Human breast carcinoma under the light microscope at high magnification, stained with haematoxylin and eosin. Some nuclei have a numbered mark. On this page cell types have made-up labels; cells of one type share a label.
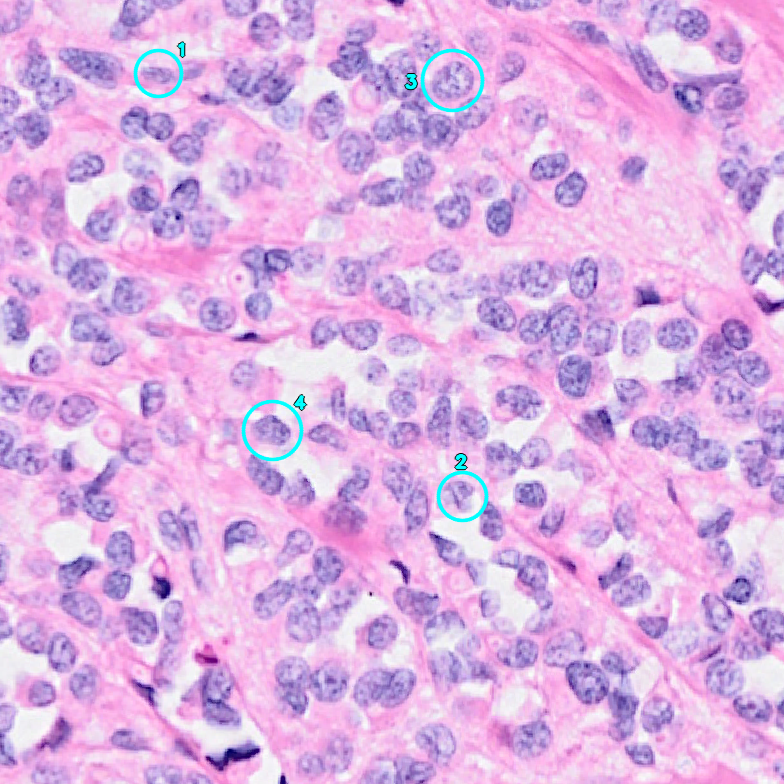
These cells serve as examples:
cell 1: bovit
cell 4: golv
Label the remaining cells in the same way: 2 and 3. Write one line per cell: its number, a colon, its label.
2: golv
3: golv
